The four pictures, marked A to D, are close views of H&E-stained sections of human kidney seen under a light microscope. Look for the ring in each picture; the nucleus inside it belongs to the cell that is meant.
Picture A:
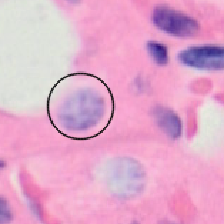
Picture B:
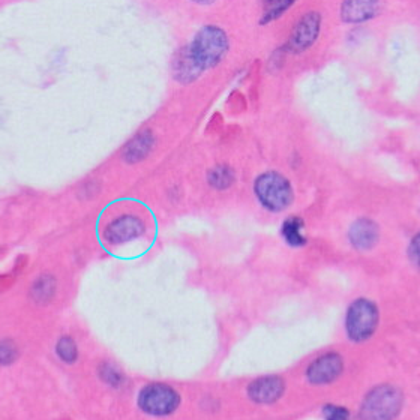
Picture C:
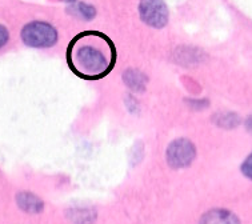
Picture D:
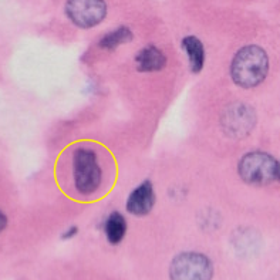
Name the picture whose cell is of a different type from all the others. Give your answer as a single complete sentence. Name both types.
Unlike the rest, which show “loop of Henle or distal tubule cells”, picture D shows a proximal tubule cell.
